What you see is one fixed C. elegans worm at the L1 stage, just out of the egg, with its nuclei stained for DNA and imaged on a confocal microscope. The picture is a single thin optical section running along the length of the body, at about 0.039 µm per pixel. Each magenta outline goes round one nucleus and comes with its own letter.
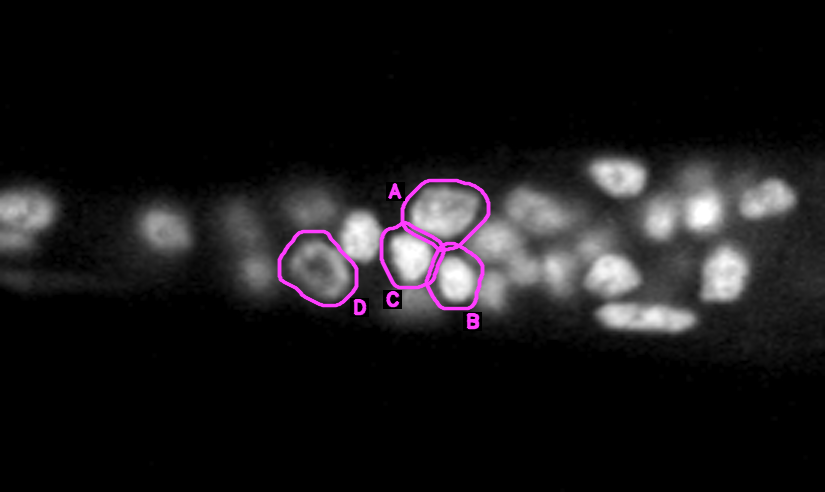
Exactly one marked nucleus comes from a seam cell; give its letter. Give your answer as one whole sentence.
D is from a seam cell.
